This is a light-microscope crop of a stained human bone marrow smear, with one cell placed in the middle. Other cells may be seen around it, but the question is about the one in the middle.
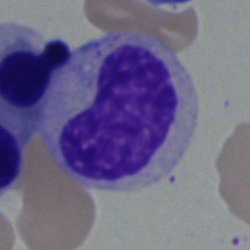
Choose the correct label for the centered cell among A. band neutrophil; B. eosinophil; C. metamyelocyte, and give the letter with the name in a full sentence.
Option C correctly states that the central cell is a metamyelocyte.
